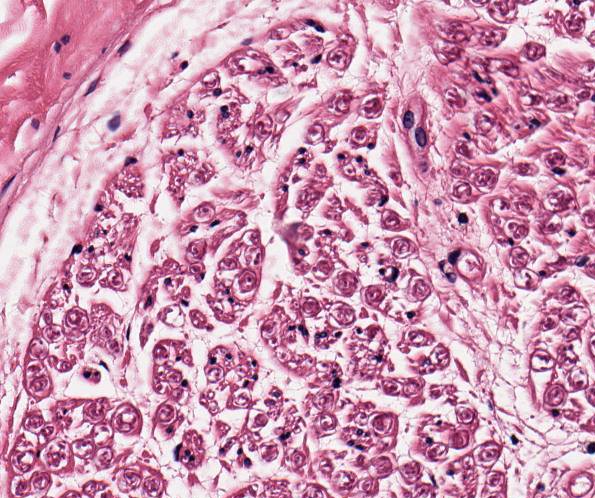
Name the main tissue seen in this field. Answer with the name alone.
nerve fascicle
